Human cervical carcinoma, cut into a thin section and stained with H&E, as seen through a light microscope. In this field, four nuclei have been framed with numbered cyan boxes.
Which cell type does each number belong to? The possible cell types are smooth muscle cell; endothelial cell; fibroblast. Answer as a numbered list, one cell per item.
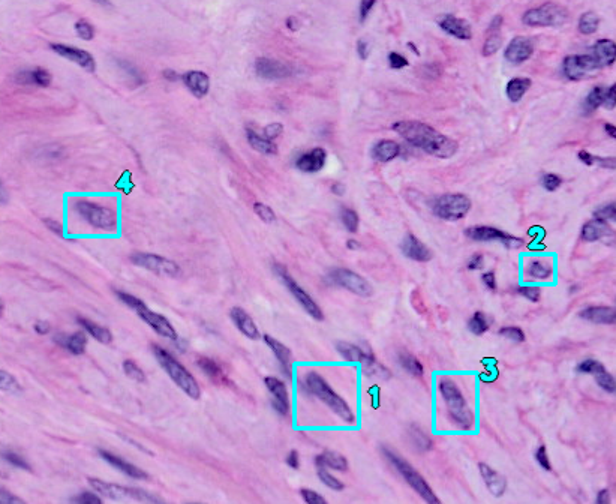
1. fibroblast
2. smooth muscle cell
3. smooth muscle cell
4. smooth muscle cell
